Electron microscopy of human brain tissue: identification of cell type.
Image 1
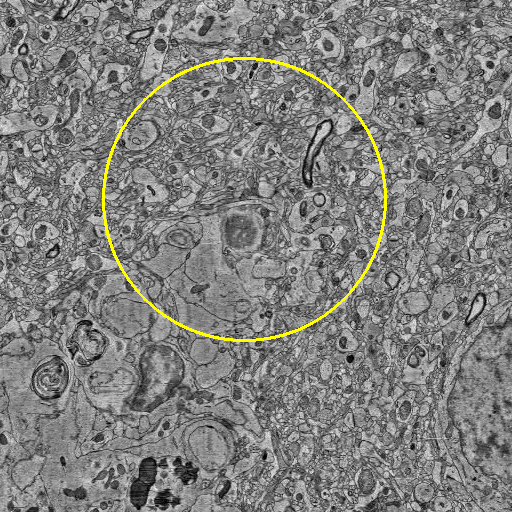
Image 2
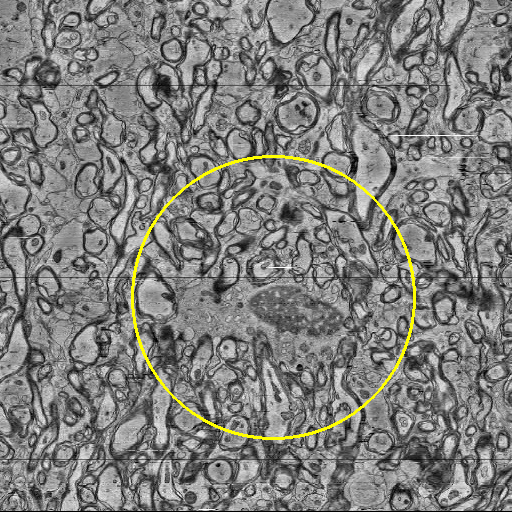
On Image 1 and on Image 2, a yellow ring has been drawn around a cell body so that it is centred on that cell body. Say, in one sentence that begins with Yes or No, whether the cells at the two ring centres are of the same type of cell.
Yes, both cells are the same type of cell.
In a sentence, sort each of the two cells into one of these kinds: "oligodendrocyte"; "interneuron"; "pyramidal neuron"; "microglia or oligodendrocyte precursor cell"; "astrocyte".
In each of the two pictures, the ringed cell is an oligodendrocyte.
